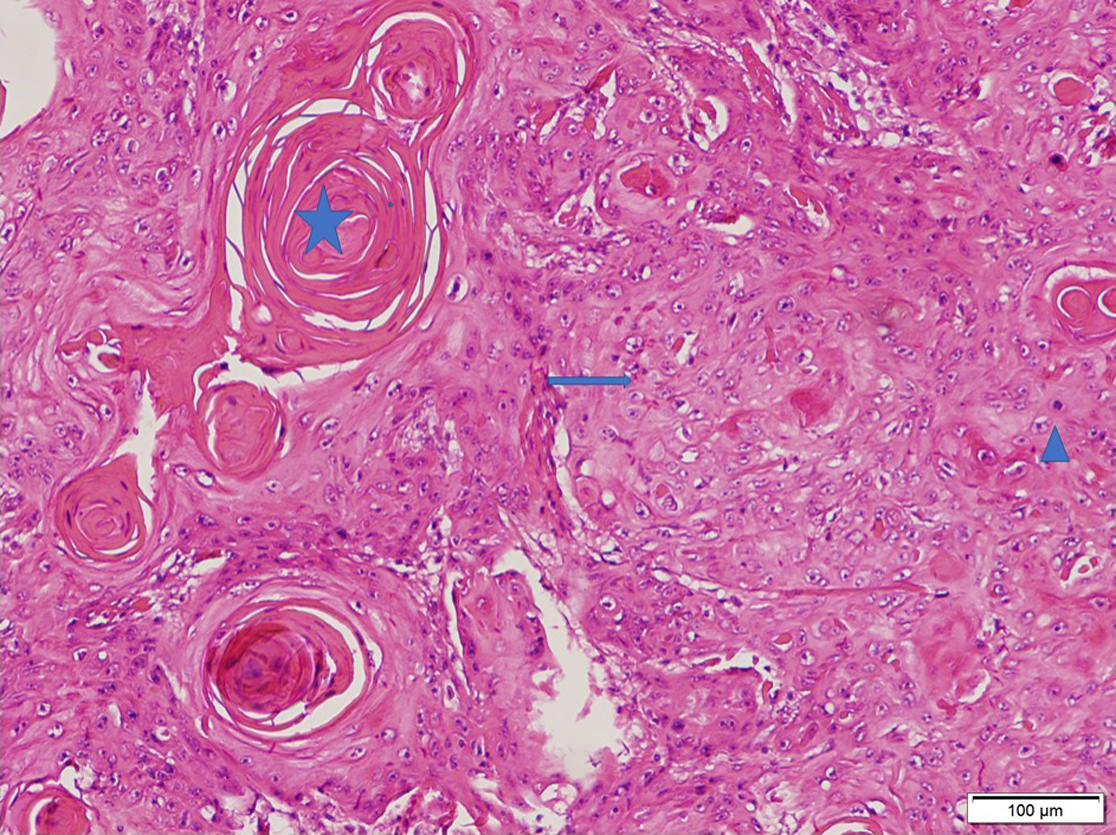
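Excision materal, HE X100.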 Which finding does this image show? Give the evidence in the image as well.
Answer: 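Squamous cell carcinoma. Sheets and nests of large polygonal cells with abundant pink cytoplasm fill the field. Concentric keratin pearls form within the nests. The nests are irregular and crowd through the tissue without an orderly layered surface.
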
